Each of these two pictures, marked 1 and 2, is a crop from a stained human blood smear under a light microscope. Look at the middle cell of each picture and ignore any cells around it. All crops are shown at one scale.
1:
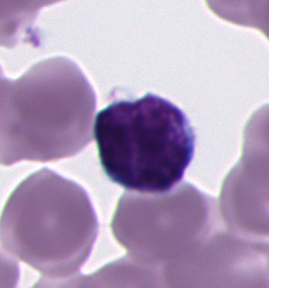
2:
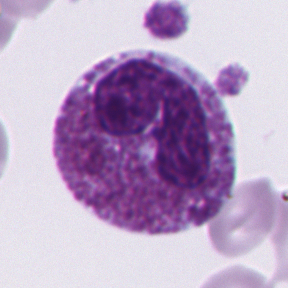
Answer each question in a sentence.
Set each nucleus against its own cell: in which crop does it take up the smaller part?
The nucleus fills less of the cell in picture 2 than in picture 1.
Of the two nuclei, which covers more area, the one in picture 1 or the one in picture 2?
Larger is the nucleus in picture 2, at roughly 1.5 times the area of the other.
